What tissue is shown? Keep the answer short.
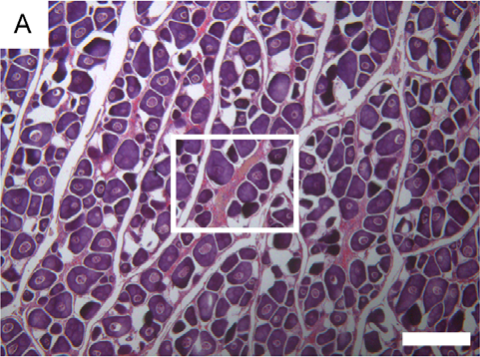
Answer: Ovaries.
